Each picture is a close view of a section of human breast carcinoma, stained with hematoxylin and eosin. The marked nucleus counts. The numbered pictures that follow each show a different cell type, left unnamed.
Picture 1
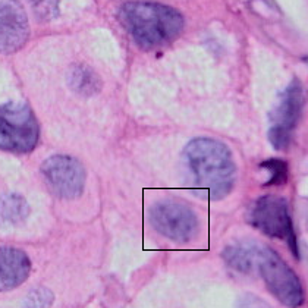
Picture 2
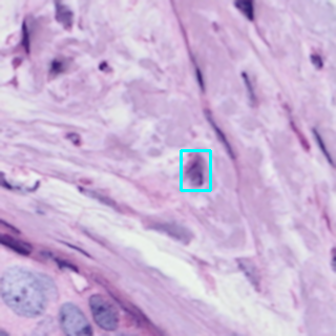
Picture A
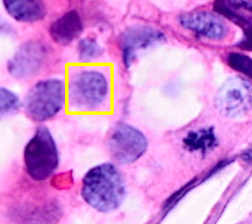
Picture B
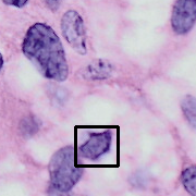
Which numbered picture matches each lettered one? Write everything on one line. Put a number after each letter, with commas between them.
A 1, B 1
